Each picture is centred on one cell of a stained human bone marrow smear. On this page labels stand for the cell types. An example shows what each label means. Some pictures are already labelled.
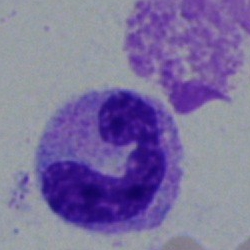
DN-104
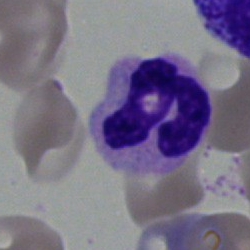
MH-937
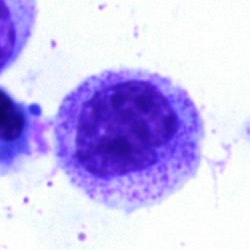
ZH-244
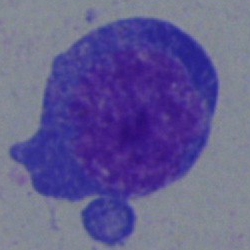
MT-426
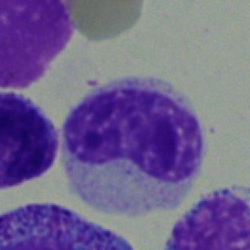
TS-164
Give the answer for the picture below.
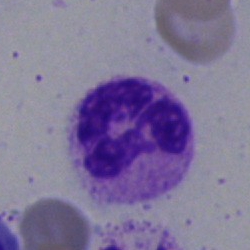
MH-937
